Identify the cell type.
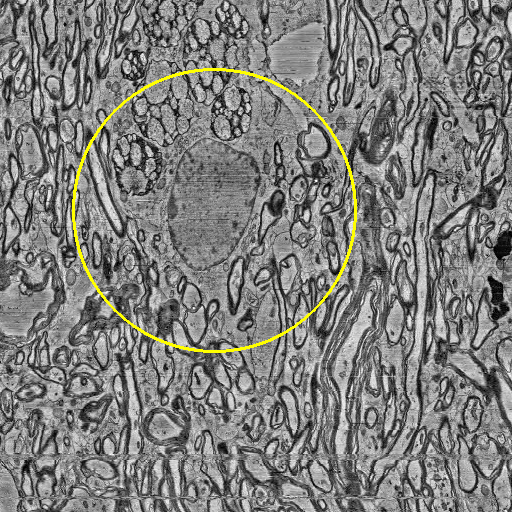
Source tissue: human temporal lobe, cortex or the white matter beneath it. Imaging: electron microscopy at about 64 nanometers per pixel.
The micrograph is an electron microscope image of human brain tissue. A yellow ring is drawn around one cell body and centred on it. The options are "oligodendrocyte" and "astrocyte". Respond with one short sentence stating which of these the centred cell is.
The cell body in the ring belongs to an astrocyte.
